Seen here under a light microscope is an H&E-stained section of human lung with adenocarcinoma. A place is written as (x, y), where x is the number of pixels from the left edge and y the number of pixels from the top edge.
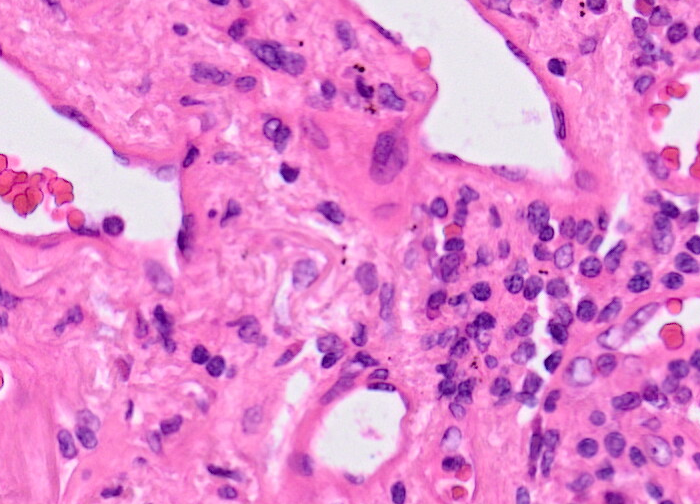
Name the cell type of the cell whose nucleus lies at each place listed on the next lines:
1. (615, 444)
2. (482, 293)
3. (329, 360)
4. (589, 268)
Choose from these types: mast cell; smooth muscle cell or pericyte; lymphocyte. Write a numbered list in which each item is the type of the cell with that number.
1. lymphocyte
2. lymphocyte
3. lymphocyte
4. mast cell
